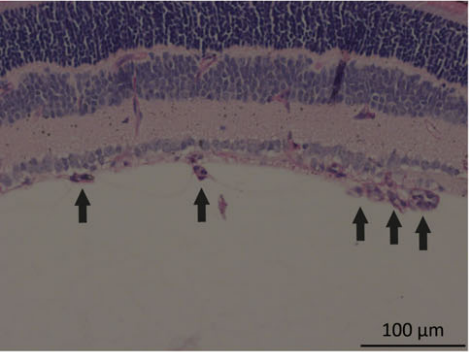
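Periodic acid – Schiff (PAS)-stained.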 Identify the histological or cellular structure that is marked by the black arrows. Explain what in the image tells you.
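The arrows point to small clusters of pink-purple stained cells with nuclei. The clusters sit on the inner surface of the retina, bulging into the pale vitreous space.
Neovascular tufts.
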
